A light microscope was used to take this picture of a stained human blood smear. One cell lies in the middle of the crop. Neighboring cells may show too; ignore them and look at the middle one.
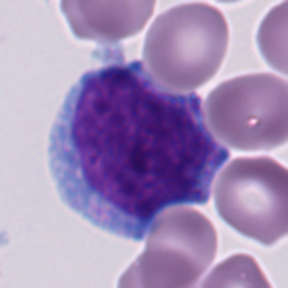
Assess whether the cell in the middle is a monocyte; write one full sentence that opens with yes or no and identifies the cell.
No, instead of a monocyte, the middle cell is a promyelocyte.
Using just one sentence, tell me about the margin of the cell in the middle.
The cell is outlined unevenly, the border being ragged or extended into projections.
